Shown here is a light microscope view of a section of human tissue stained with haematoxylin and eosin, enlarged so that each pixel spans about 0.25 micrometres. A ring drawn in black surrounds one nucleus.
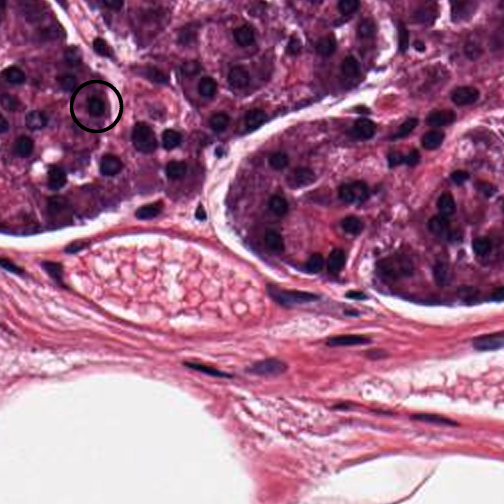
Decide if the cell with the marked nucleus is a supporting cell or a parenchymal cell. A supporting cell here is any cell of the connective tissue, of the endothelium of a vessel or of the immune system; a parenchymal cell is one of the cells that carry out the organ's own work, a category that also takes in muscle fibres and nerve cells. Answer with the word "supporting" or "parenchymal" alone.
parenchymal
